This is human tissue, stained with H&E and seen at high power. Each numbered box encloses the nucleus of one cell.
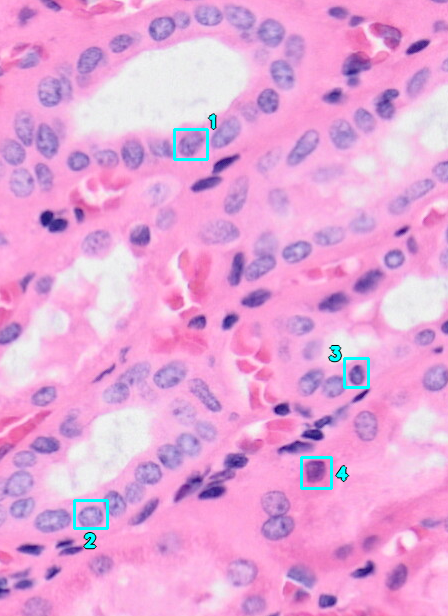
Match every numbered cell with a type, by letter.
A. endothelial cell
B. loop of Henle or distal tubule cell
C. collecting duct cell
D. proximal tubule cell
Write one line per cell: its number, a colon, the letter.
1: C
2: C
3: C
4: D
